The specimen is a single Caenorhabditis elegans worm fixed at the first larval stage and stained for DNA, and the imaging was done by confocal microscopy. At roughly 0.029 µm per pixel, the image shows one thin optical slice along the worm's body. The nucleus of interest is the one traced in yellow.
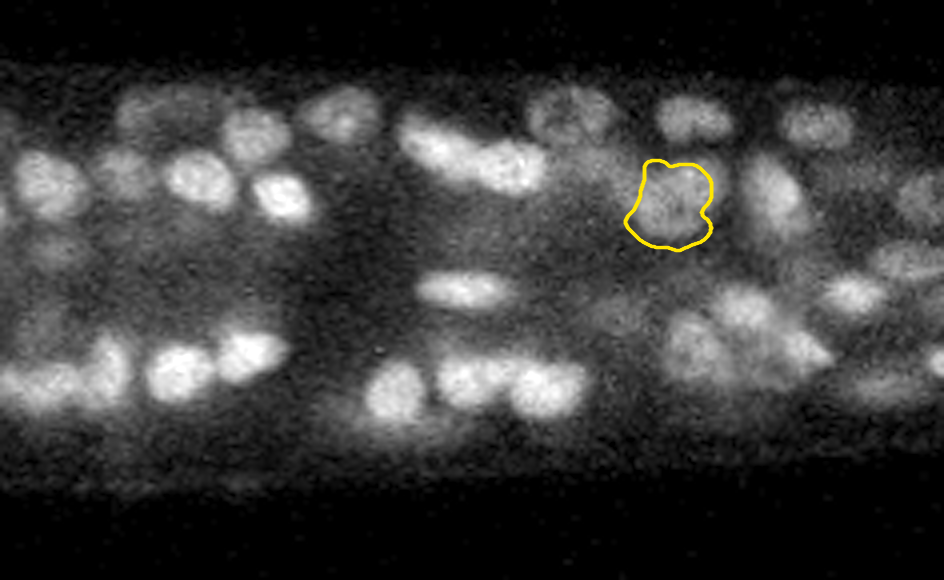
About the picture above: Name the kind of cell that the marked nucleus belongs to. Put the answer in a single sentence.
The cell with the marked nucleus is a pharyngeal muscle cell.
